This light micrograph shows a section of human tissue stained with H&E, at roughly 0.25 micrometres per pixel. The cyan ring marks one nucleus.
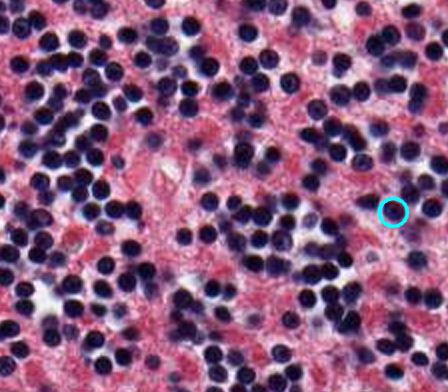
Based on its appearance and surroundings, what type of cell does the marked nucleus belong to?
cerebellar granule cell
